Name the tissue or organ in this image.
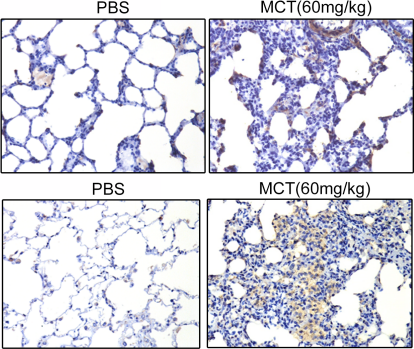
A: Lung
